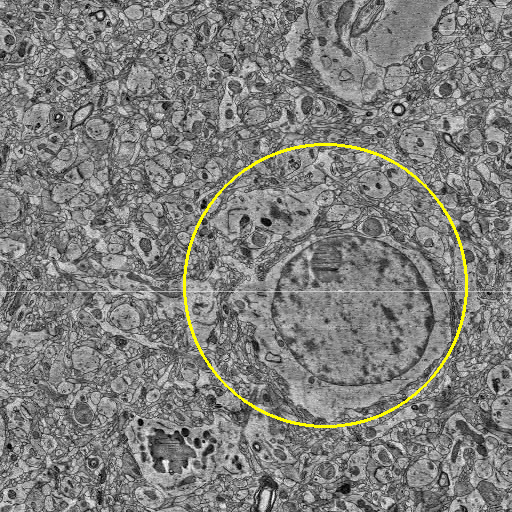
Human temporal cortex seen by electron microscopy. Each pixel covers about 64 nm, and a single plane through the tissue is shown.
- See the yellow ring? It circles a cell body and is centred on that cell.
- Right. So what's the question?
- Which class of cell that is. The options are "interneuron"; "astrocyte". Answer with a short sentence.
The centre of the ring holds an astrocyte.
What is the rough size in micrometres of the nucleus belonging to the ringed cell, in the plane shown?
The ringed cell's nucleus is about 10 micrometres across in this plane.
